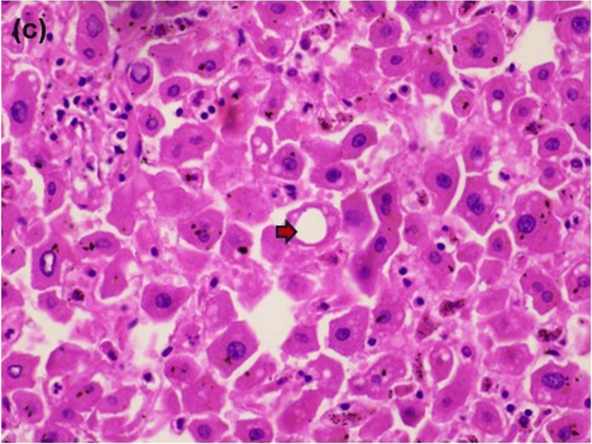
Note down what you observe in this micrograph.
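Liver parenchyma of large polygonal hepatocytes with abundant pink granular cytoplasm and round central nuclei, some with a visible nucleolus and a few binucleate. One hepatocyte holds a large single clear round vacuole, a fat droplet filling much of the cell. Cords are loosely arranged with pale spaces between them. Small dark round nuclei of other cells lie between the hepatocytes. Scattered brown to black granular pigment is present in and between cells, some in clusters. Several hepatocytes show smaller clear spaces in the cytoplasm.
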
